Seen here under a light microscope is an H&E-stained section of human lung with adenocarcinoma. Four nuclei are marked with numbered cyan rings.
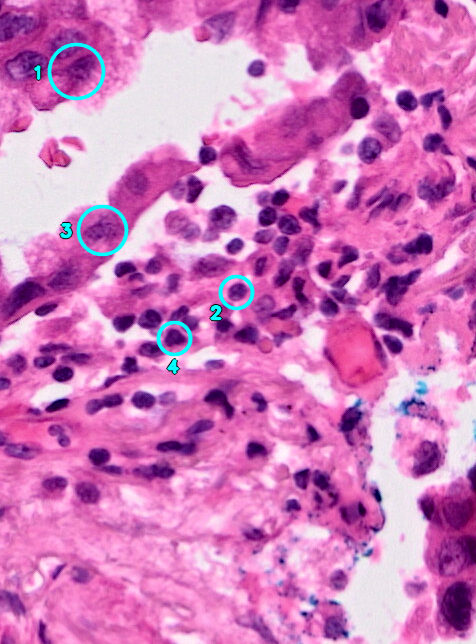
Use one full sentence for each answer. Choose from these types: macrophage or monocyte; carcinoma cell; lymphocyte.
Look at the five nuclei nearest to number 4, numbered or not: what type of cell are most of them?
Around number 4, most of the five nearest nuclei are those of lymphocytes.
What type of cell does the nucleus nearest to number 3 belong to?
Closest to number 3 lies the nucleus of a lymphocyte.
